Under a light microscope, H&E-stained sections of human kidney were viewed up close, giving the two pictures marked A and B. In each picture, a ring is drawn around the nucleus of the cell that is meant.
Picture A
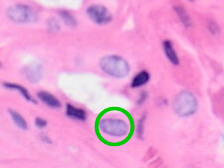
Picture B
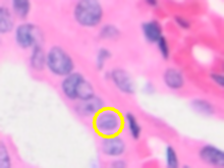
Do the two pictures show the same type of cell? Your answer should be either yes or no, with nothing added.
yes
